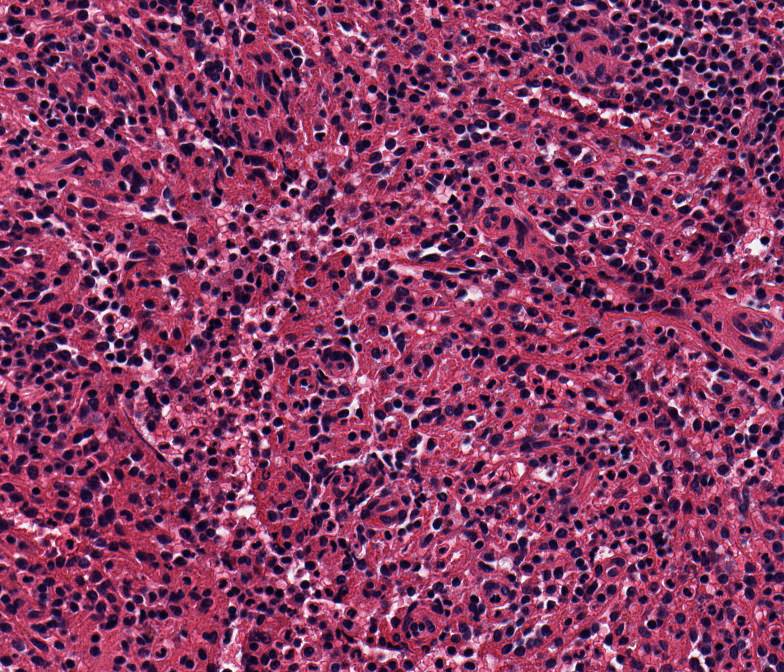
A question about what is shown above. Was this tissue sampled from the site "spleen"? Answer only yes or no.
yes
